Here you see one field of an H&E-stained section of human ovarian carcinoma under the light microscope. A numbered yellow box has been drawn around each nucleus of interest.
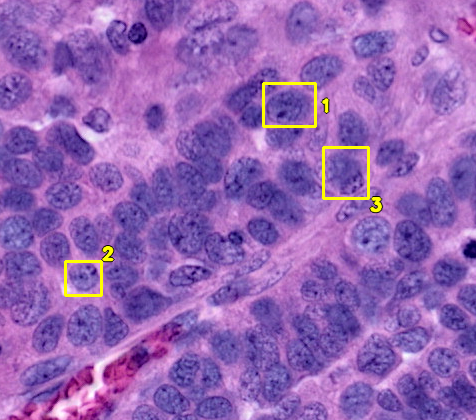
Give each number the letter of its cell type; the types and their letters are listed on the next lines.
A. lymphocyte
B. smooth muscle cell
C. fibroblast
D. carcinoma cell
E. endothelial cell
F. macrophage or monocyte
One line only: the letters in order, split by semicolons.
D; F; D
